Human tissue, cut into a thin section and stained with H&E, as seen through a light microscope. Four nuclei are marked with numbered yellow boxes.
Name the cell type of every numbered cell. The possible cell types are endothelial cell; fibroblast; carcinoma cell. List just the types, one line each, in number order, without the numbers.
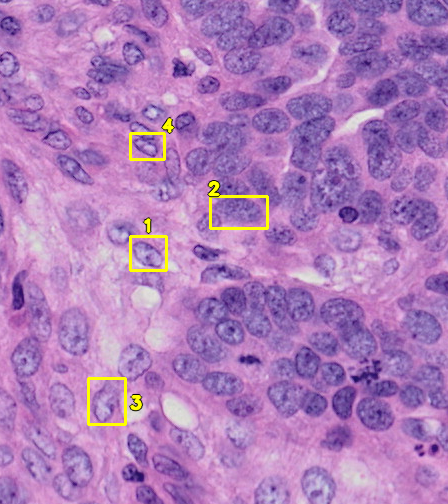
fibroblast
carcinoma cell
fibroblast
endothelial cell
